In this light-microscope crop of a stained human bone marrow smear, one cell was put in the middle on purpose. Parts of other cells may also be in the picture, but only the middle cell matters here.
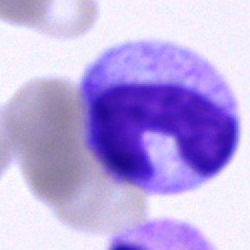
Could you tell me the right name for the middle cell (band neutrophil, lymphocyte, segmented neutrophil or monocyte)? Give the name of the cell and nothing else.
band neutrophil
